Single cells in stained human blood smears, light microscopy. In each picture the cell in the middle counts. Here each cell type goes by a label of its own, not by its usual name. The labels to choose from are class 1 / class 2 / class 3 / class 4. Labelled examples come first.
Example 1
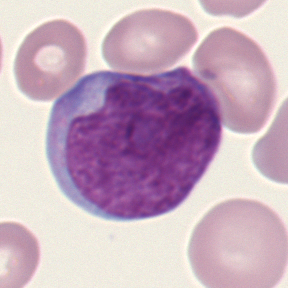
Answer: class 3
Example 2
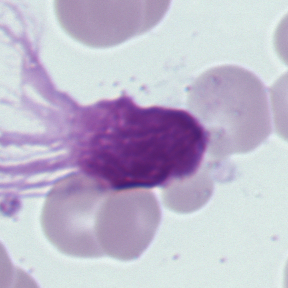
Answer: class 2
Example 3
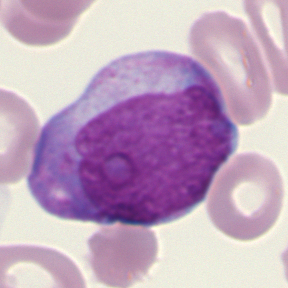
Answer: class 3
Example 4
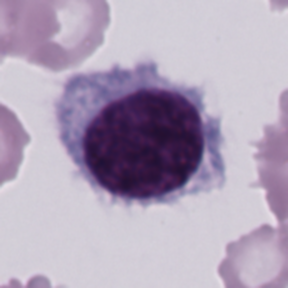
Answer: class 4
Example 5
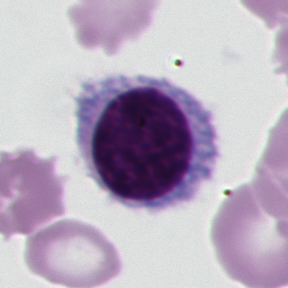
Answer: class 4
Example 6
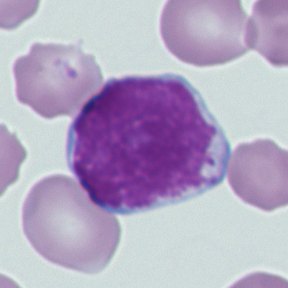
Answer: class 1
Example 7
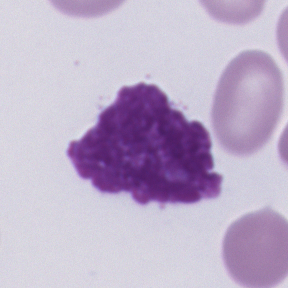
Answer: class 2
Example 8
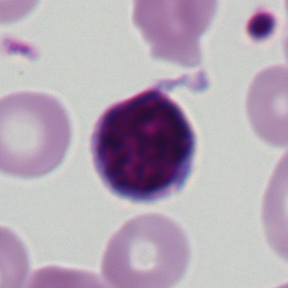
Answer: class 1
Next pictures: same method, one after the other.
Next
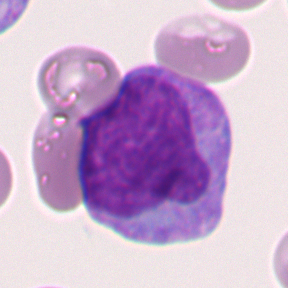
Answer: class 3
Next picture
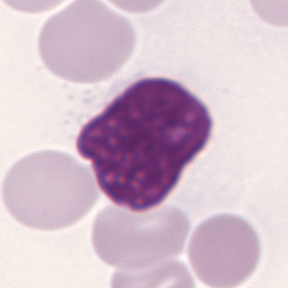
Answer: class 2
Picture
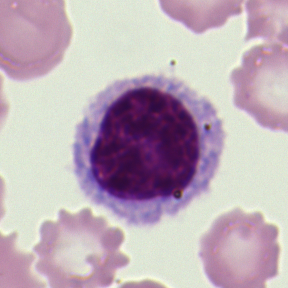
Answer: class 4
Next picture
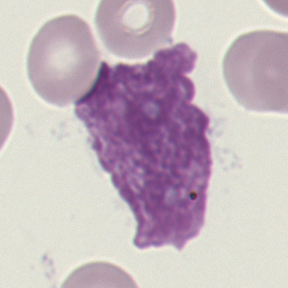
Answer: class 2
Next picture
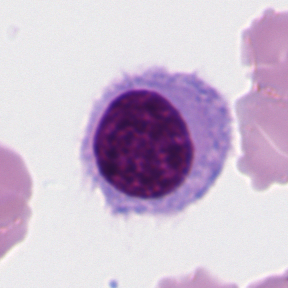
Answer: class 4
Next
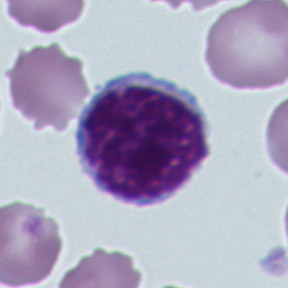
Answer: class 1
